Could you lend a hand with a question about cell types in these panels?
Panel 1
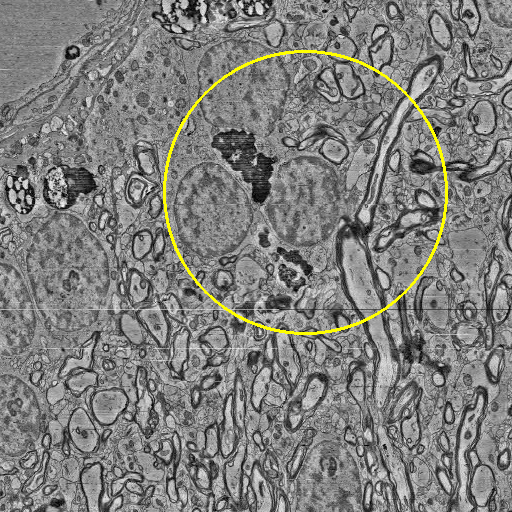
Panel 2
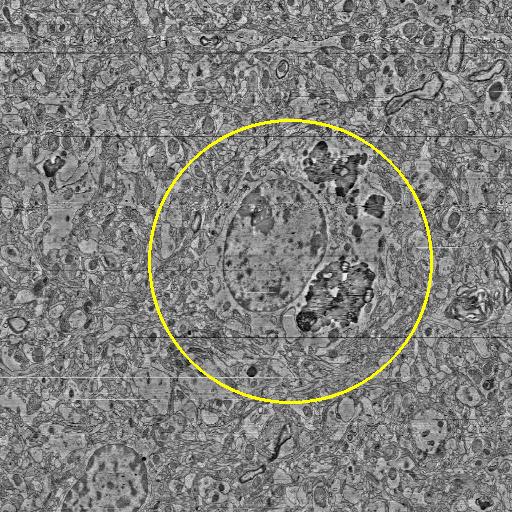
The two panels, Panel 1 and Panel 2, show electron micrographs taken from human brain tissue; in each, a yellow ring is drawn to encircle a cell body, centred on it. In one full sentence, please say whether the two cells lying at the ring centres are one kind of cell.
No, the cells at the ring centres in the two panels are two kinds of cell.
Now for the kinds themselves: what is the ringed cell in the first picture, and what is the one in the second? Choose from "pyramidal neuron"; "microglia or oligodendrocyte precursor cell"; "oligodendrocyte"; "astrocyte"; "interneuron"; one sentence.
Here the first cell is an oligodendrocyte and the second cell is an astrocyte.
